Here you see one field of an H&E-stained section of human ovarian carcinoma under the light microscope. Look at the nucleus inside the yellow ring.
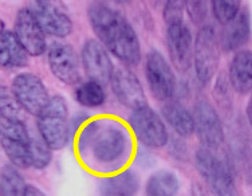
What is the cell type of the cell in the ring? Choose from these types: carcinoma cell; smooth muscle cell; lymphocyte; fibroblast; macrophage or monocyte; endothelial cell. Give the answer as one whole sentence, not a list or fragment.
It is a carcinoma cell that the cell in the ring represents.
